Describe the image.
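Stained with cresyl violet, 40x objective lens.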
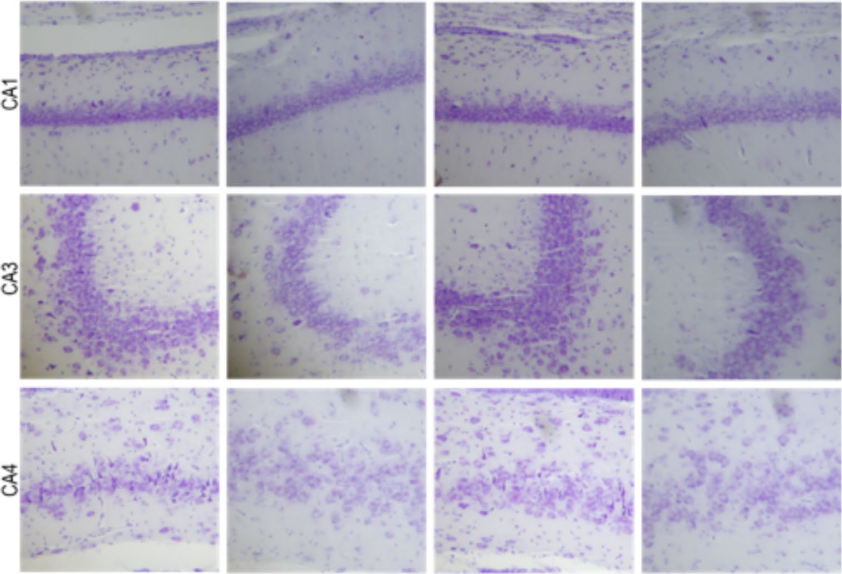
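In the top row the cells form a narrow, compact band of small, closely set cell bodies running across the field. In the middle row the band is broader and bends in a curve, and its cells are larger with more violet cytoplasm around the nucleus. In the bottom row the cells are looser and more scattered, and across all images small dark nuclei of other cells lie spread through the pale surrounding tissue.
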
